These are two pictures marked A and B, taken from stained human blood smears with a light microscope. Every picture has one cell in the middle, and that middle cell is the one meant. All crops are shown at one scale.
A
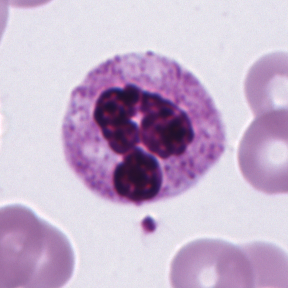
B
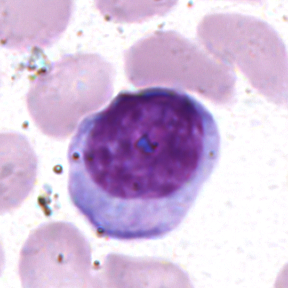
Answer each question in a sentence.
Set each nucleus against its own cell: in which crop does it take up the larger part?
The nucleus fills more of the cell in picture B than in picture A.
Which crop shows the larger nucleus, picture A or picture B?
Larger is the nucleus in picture B, at roughly 1.5 times the area of the other.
